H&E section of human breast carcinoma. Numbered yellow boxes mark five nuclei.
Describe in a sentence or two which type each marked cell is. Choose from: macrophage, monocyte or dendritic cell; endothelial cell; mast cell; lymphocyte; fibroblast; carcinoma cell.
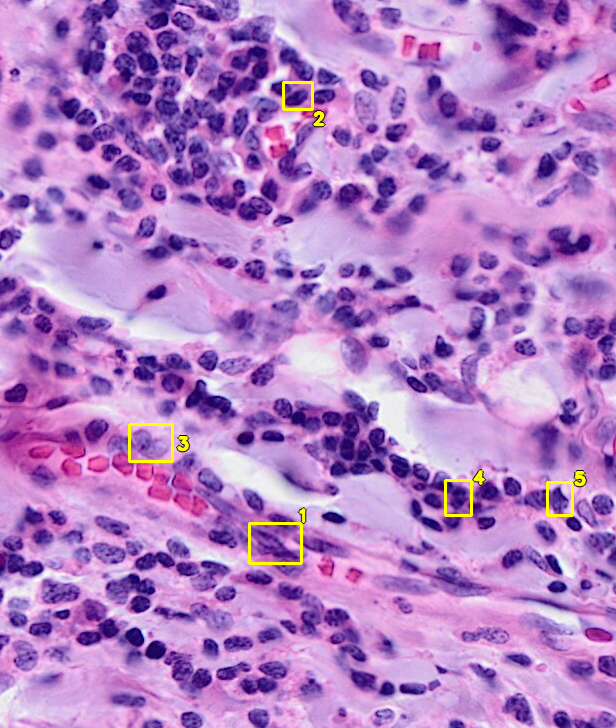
Cells 1 and 3 are endothelial cells. Cells 2, 4 and 5 are lymphocytes.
